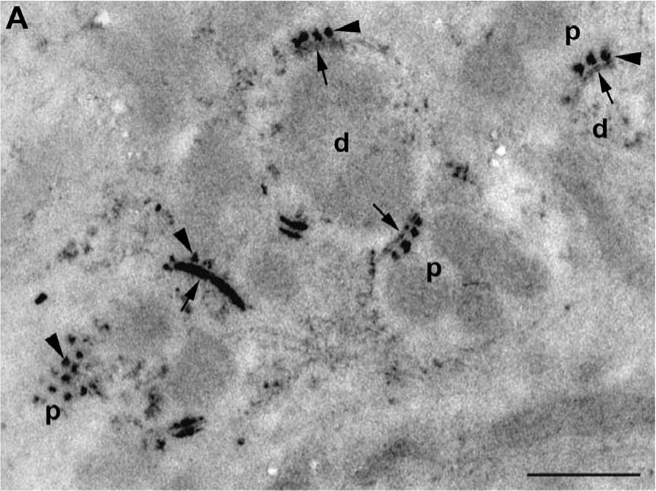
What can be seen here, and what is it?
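Where a contact is cut across, a continuous dense band marks the postsynaptic specialization, and on the opposite, presynaptic side a row of small dark dots projects from it like peaks. Several such contacts sit around rounded profiles of dendrites and terminals, whose membranes and contents remain almost unstained. Where a contact is cut obliquely, the dots are spread out as a grid of separate dark patches rather than a line. One contact shows a long, curved, continuous dense band.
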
